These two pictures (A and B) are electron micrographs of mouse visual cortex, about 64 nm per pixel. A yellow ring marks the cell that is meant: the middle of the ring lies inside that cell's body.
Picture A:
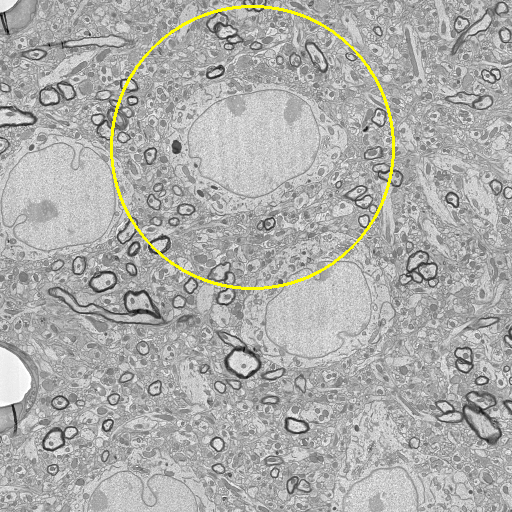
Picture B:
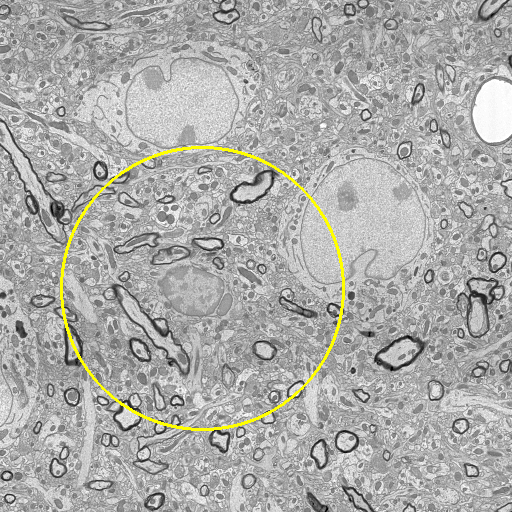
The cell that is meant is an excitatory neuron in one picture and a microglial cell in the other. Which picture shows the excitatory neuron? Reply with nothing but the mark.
A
